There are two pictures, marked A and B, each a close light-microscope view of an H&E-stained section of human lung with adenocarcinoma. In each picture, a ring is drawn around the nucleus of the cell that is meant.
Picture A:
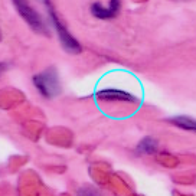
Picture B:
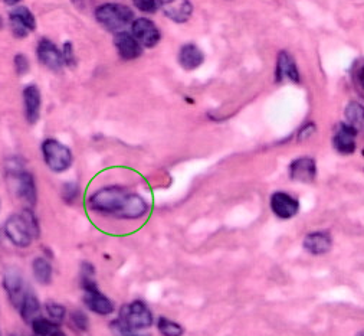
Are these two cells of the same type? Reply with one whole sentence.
Yes, both are endothelial cells.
